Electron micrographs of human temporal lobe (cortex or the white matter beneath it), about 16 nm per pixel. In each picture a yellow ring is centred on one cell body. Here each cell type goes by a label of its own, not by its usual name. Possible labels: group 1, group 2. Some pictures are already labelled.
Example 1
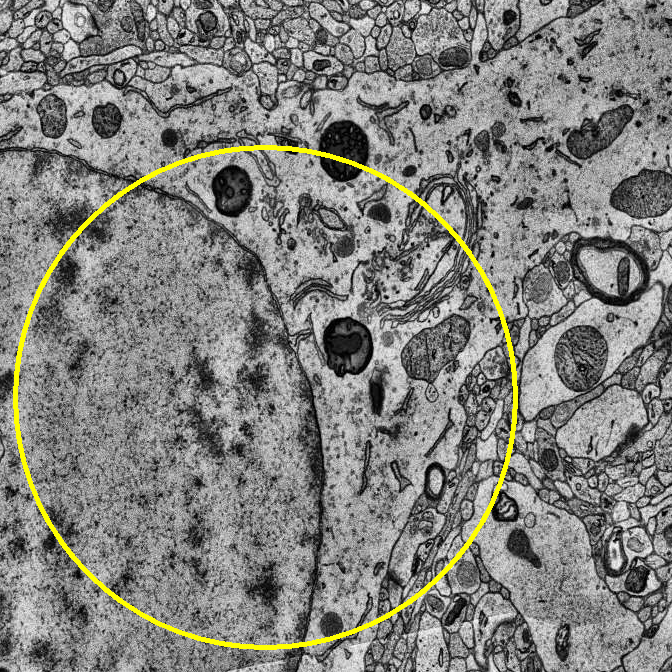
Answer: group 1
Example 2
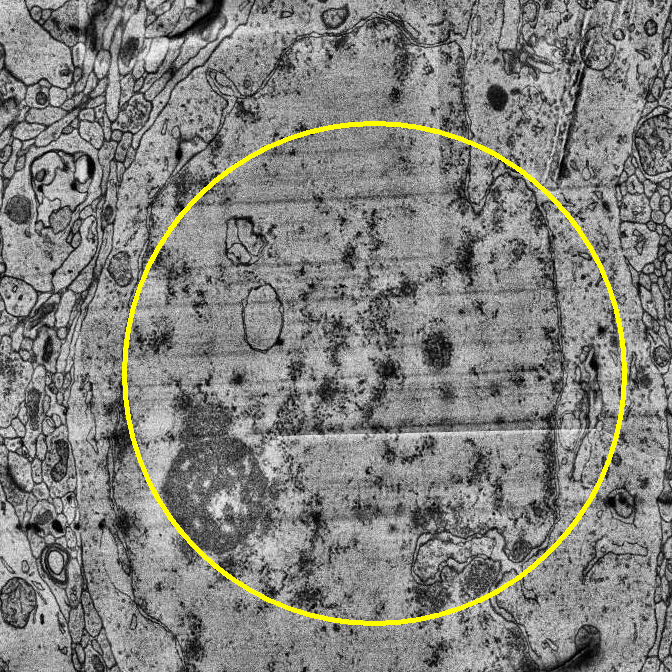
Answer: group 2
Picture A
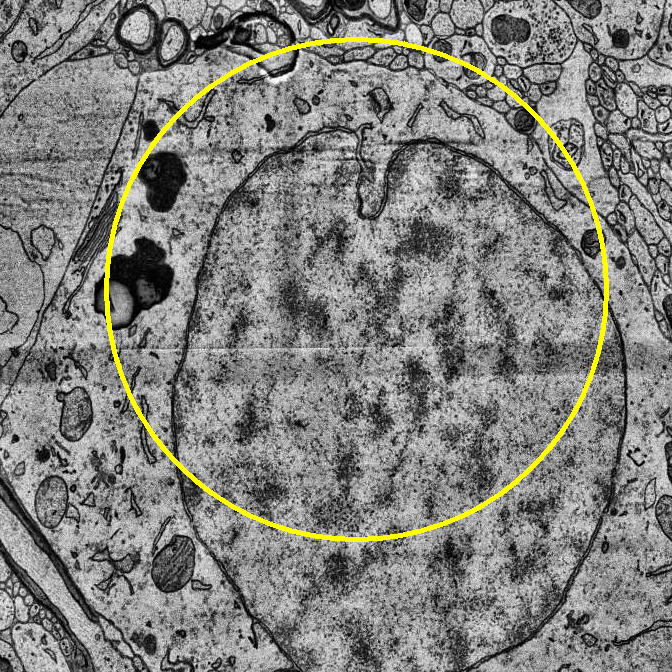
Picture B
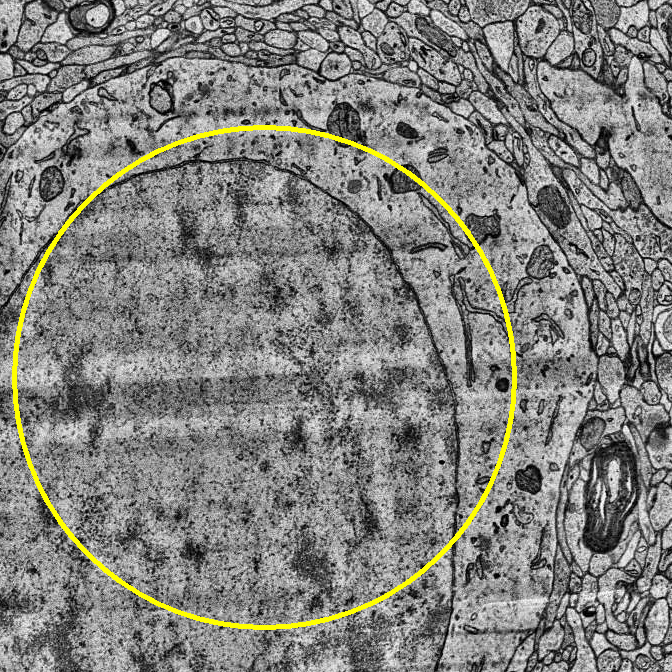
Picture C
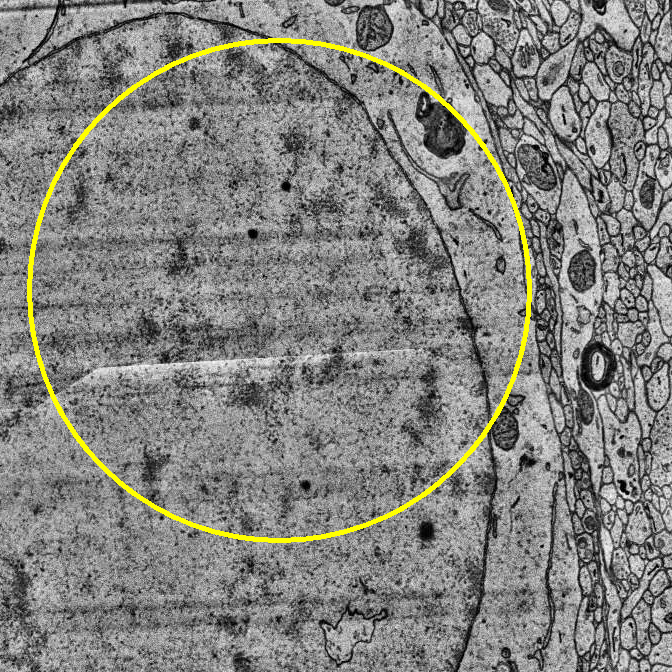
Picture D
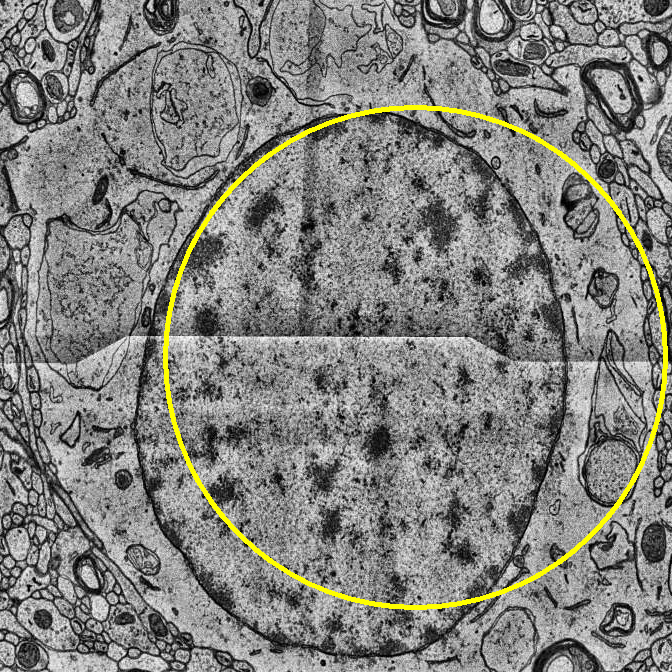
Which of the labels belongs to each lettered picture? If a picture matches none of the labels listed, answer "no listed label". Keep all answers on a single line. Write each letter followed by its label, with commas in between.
A group 1, B group 1, C group 1, D no listed label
